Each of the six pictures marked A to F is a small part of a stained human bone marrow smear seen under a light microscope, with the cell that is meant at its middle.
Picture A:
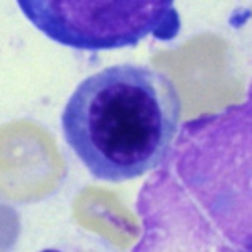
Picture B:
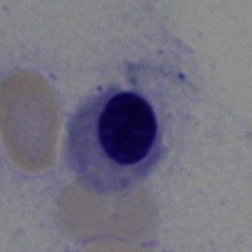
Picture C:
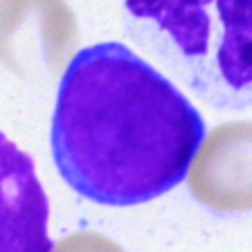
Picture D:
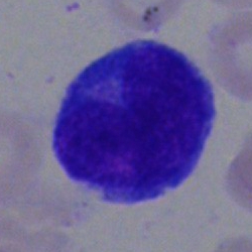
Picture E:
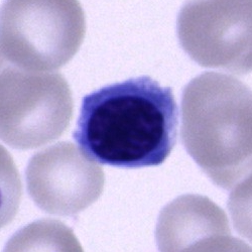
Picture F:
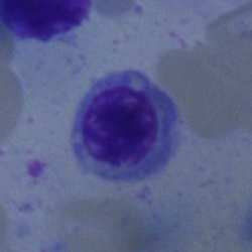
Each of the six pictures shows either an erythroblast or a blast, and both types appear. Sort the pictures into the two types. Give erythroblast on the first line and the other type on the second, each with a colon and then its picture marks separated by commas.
erythroblast: A, B, E, F
blast: C, D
